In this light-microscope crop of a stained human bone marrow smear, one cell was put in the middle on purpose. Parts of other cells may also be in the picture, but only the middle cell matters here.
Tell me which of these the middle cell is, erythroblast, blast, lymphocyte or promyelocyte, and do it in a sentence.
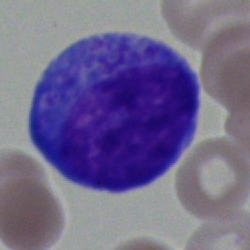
The cell shown in the center of this light-microscope crop is a promyelocyte.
